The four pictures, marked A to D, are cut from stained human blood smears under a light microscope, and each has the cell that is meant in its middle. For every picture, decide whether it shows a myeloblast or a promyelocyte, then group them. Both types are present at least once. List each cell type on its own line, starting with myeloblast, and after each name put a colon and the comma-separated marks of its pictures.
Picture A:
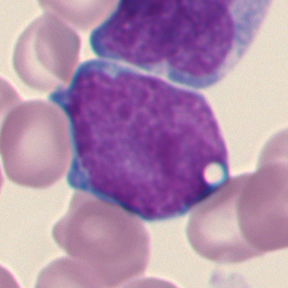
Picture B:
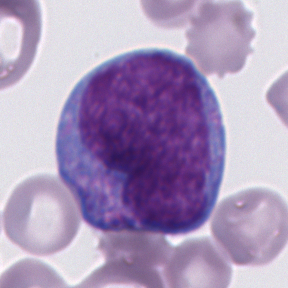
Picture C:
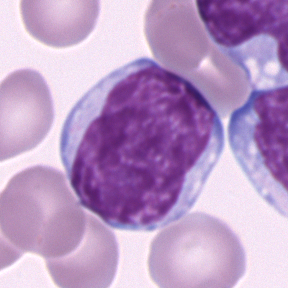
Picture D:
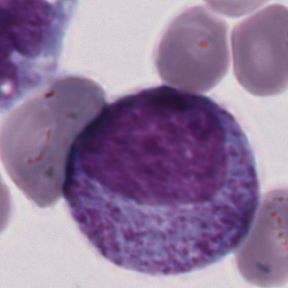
myeloblast: A, C
promyelocyte: B, D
